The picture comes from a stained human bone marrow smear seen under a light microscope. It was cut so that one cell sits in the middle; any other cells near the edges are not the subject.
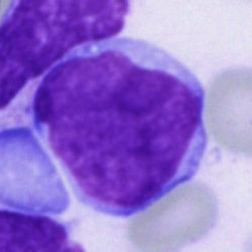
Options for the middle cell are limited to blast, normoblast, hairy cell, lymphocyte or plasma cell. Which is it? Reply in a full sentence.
As for the cell in the middle, it is a blast.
